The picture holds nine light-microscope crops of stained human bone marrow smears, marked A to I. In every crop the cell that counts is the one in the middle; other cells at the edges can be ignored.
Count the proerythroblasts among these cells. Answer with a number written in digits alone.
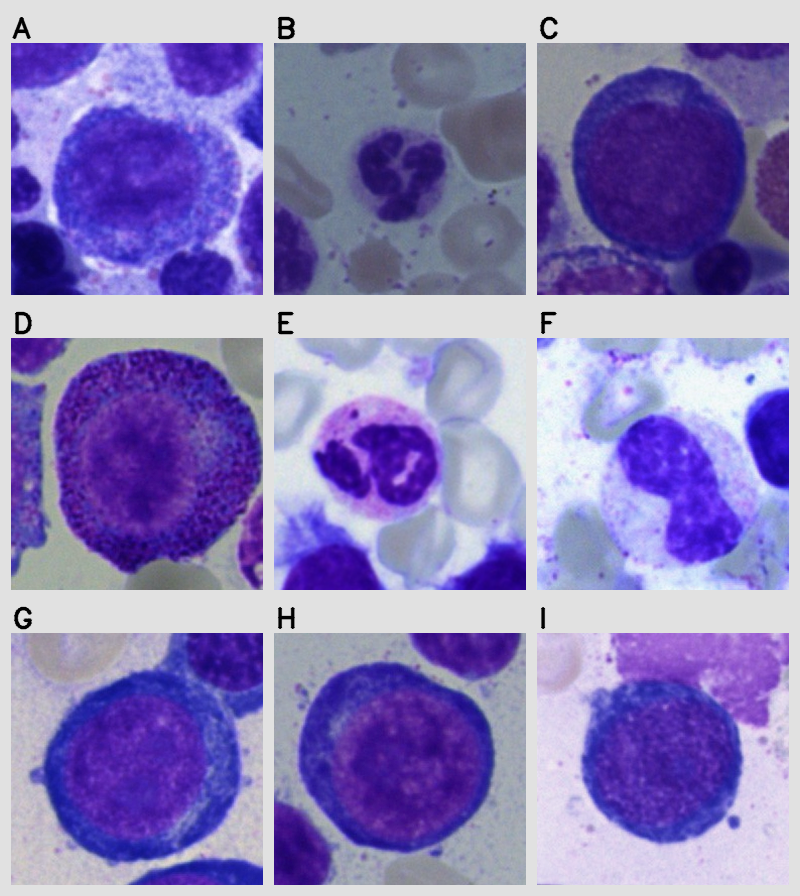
4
